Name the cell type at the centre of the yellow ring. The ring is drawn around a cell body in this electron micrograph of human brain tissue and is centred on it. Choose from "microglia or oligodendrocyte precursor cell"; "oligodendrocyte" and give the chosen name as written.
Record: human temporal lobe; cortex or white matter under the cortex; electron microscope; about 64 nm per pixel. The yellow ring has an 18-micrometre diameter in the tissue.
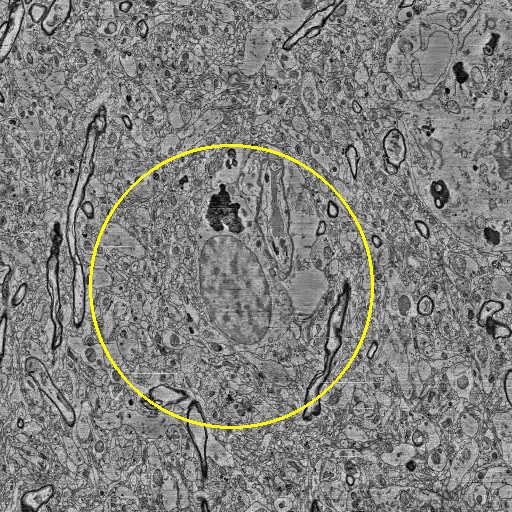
oligodendrocyte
